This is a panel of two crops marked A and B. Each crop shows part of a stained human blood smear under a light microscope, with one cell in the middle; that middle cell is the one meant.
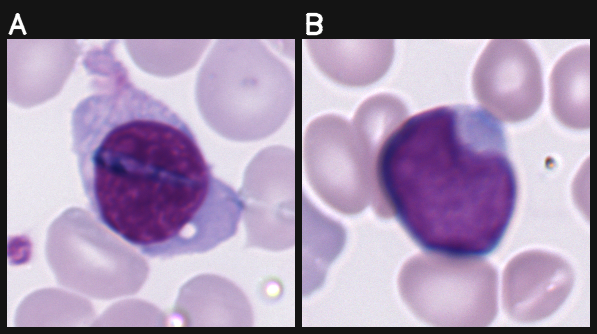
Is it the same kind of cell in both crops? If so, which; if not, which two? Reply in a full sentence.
No, crop A shows a typical lymphocyte, with a myeloblast shown in crop B.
